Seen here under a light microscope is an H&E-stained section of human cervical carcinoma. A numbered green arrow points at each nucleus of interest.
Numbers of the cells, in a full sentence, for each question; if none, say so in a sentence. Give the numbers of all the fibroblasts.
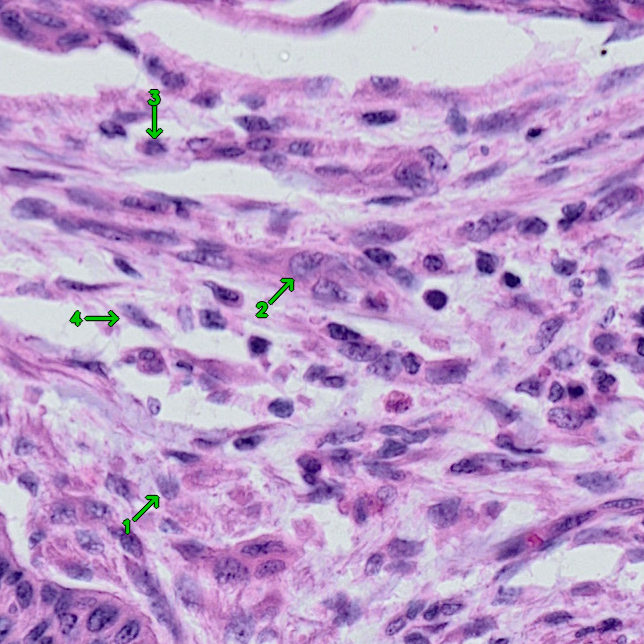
The cells with labels 1 and 4 are fibroblasts.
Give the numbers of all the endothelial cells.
Only one of the numbered nuclei, number 2, belongs to an endothelial cell.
